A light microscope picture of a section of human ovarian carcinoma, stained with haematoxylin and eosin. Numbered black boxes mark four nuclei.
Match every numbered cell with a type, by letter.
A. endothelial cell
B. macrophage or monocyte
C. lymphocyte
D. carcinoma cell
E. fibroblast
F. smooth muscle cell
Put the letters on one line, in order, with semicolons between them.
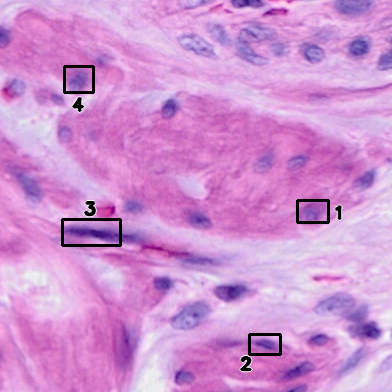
F; F; A; F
